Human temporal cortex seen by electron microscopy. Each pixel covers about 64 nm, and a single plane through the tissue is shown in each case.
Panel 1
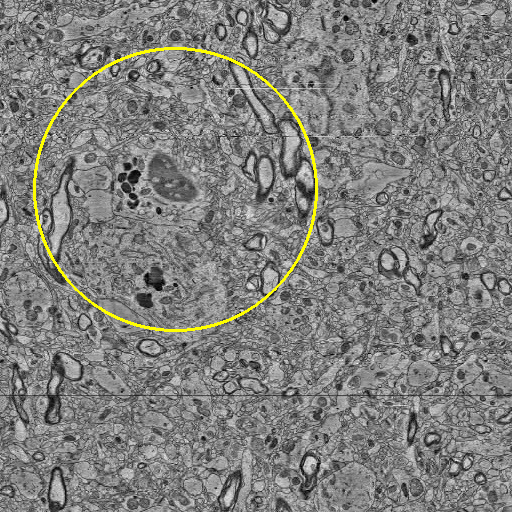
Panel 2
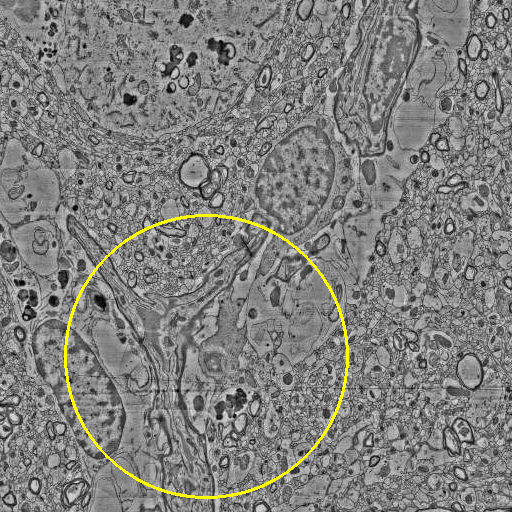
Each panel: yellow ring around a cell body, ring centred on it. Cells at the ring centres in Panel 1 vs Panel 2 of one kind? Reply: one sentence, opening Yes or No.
No, Panel 1 and Panel 2 have cells of two kinds at the ring centres.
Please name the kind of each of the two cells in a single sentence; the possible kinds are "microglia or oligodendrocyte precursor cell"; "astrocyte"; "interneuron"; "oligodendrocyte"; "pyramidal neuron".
In the first picture the ring is centred on a microglial cell or oligodendrocyte precursor cell, and in the second on an oligodendrocyte.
